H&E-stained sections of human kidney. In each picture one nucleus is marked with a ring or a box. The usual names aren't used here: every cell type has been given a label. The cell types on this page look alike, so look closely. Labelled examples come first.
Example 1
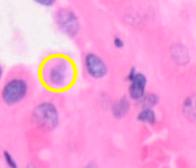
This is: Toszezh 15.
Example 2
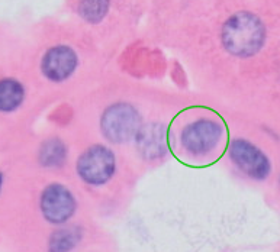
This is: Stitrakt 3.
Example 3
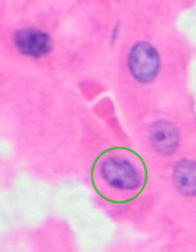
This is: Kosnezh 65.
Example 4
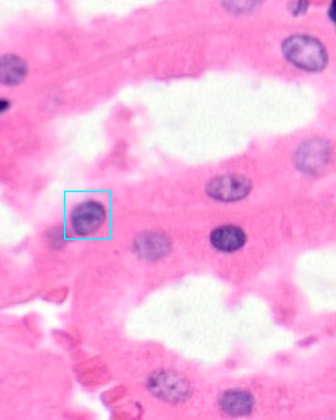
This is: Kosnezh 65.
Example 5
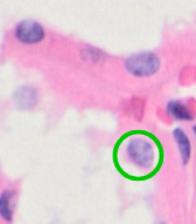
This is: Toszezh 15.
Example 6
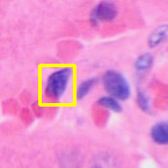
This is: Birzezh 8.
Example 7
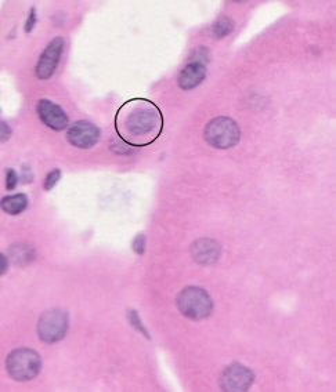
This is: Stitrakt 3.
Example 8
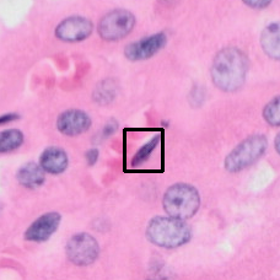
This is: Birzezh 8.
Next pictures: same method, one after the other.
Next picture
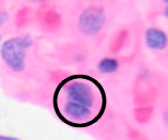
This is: Birzezh 8.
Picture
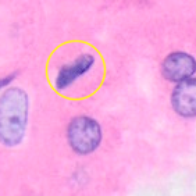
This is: Birzezh 8.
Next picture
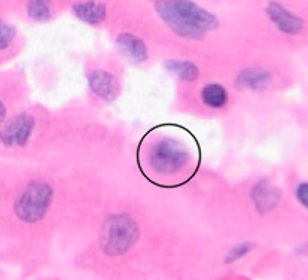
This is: Toszezh 15.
